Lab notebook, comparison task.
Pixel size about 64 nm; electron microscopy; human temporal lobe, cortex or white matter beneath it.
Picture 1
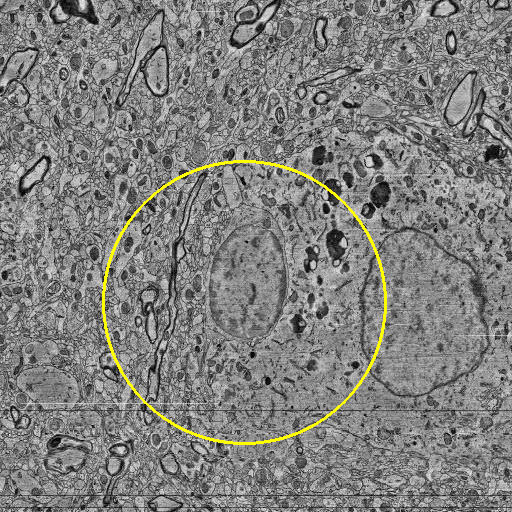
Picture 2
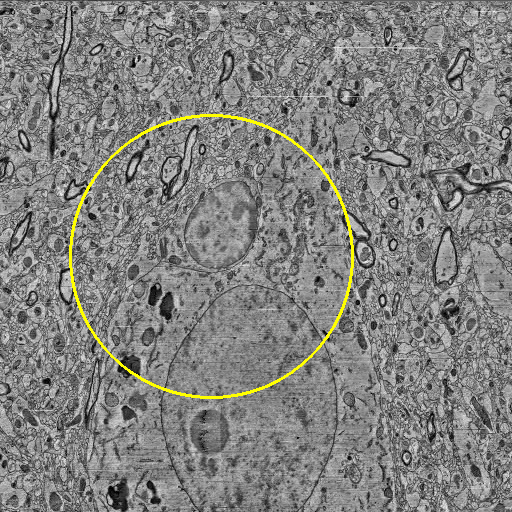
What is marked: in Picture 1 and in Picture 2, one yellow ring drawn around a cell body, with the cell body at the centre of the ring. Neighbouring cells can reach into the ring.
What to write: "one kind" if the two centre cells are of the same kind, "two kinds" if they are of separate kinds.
one kind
